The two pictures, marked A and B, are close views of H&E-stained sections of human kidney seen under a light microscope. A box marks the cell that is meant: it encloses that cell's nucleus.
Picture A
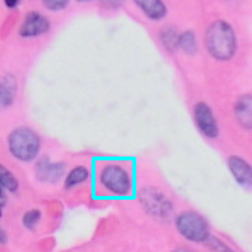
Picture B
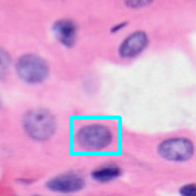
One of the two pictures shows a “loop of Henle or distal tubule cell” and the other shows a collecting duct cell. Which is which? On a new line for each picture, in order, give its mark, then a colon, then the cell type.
A: collecting duct cell
B: loop of Henle or distal tubule cell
